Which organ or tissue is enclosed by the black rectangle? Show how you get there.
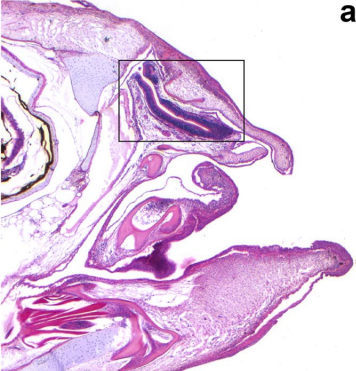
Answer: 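Olfactory epithelium. The rectangle frames a dark purple, folded band of densely nucleated epithelium in the upper snout. The band lines a narrow cavity near the front of the head.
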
